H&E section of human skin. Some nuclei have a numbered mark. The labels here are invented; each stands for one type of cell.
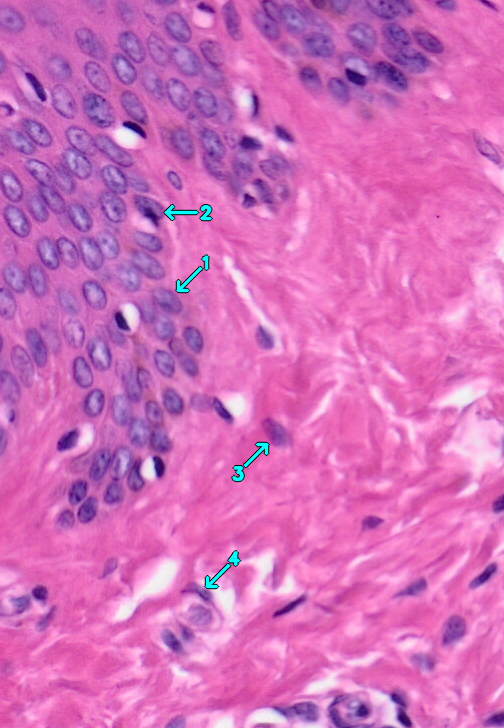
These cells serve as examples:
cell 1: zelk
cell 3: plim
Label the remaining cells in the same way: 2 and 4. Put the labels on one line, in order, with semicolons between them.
zelk; plim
